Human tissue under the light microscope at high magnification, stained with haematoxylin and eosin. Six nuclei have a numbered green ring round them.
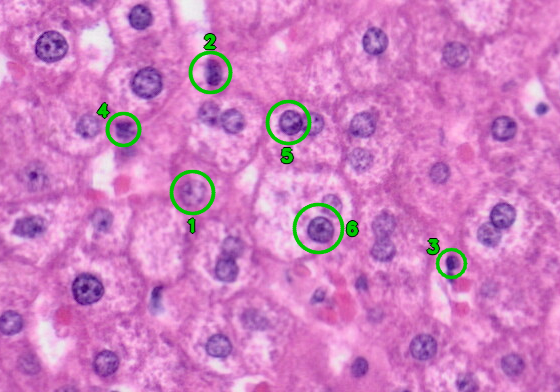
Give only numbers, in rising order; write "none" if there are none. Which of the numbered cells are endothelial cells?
2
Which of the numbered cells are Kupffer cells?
none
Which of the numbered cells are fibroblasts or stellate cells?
4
